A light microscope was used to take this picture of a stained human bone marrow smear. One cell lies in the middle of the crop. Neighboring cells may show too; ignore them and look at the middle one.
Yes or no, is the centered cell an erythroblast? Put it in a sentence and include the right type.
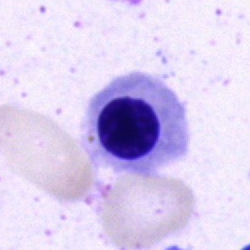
Yes, the centred cell is categorised as an erythroblast.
